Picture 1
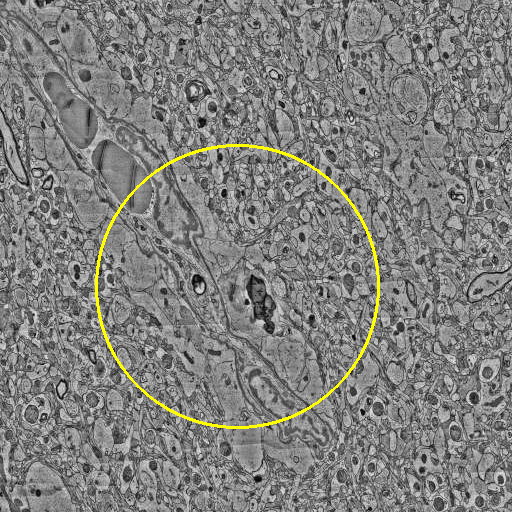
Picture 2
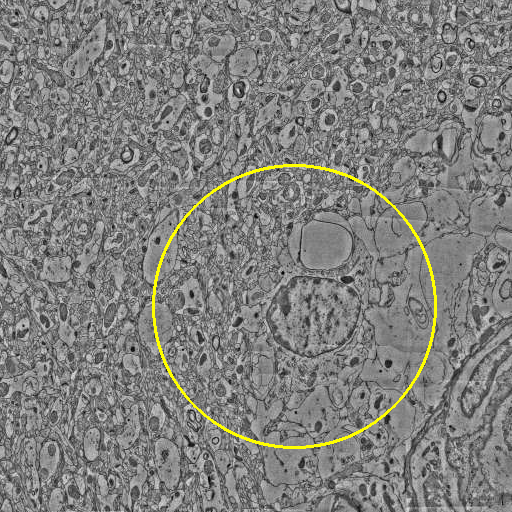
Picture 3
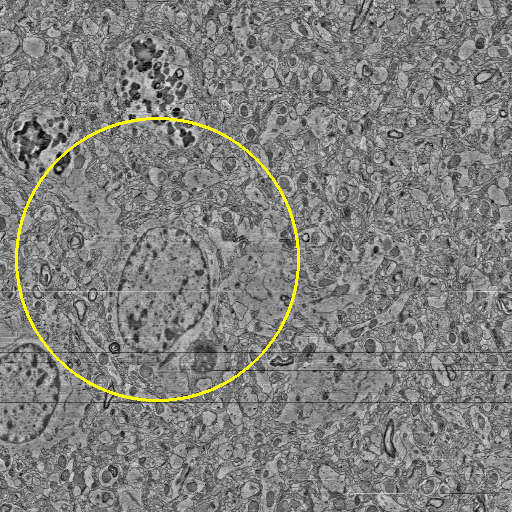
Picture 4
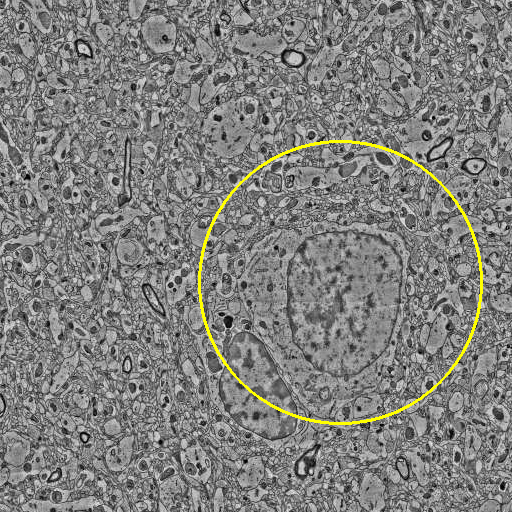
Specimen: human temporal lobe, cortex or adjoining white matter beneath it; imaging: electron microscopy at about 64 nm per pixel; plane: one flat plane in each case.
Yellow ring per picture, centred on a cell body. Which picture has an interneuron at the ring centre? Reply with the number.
4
